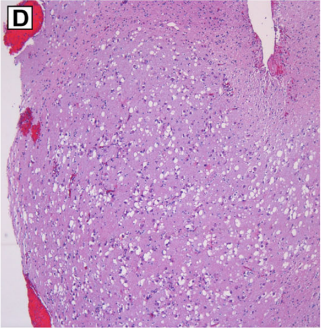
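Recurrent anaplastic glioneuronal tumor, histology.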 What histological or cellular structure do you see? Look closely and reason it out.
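Its interior is pale with many small clear spaces.
Nodular pattern.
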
